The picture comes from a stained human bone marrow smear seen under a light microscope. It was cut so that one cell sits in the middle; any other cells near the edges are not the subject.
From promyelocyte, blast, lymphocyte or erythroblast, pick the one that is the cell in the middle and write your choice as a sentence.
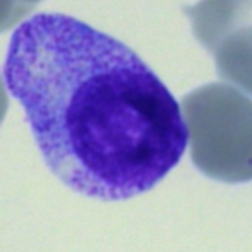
Regarding the central cell, it is a promyelocyte.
